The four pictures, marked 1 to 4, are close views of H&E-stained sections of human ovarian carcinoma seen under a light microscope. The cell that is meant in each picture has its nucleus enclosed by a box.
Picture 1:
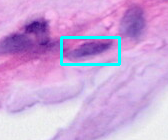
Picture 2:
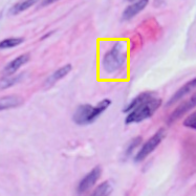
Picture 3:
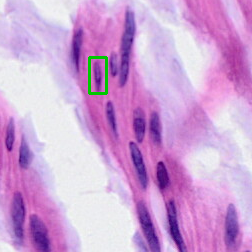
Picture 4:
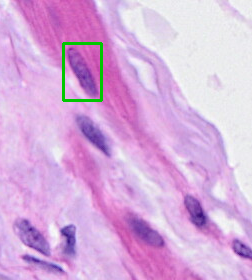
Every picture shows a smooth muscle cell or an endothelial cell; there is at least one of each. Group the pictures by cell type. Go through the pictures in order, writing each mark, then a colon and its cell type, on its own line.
1: smooth muscle cell
2: endothelial cell
3: smooth muscle cell
4: smooth muscle cell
